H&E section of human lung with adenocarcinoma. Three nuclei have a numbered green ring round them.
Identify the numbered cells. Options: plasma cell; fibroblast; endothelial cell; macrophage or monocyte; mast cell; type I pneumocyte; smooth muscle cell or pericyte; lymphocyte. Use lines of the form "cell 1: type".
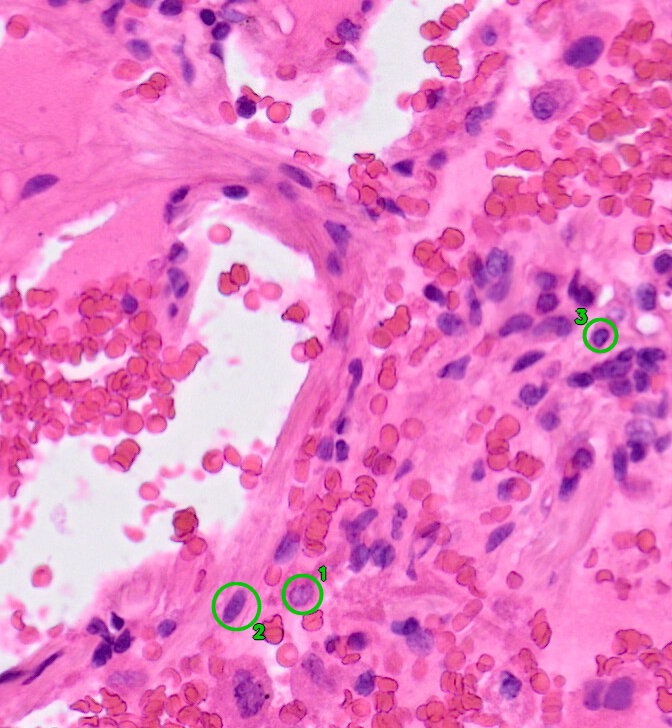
cell 1: macrophage or monocyte
cell 2: type I pneumocyte
cell 3: mast cell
